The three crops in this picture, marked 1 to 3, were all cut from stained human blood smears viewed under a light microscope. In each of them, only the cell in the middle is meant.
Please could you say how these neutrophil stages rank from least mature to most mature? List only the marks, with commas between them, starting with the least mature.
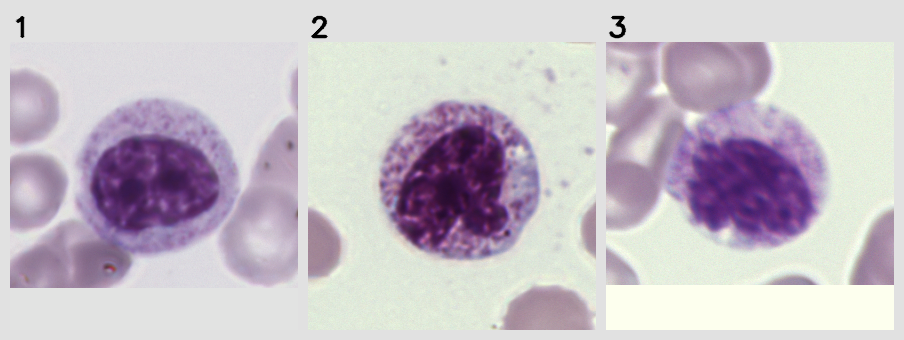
1, 2, 3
